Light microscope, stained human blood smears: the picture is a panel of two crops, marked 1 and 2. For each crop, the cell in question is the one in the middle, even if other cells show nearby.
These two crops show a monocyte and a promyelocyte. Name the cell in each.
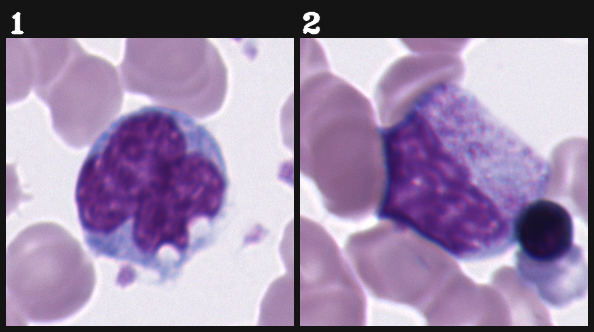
1: monocyte
2: promyelocyte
